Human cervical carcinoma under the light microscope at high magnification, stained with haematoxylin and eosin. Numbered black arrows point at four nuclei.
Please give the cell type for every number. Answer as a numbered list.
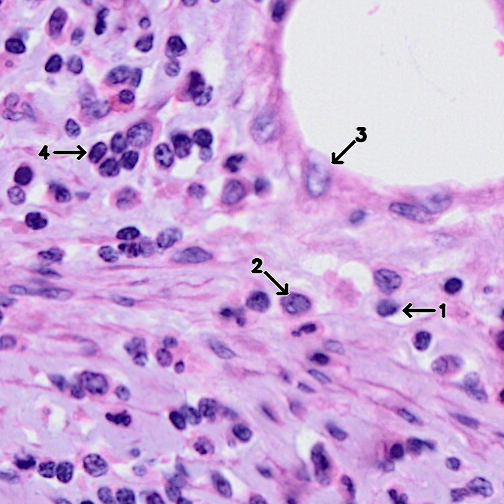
1. lymphocyte
2. macrophage or monocyte
3. endothelial cell
4. lymphocyte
